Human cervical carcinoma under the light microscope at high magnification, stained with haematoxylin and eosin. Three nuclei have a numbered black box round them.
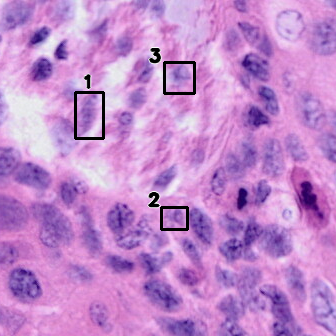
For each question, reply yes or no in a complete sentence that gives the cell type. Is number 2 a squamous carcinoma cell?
Yes, the cell shown as number 2 is a squamous carcinoma cell.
